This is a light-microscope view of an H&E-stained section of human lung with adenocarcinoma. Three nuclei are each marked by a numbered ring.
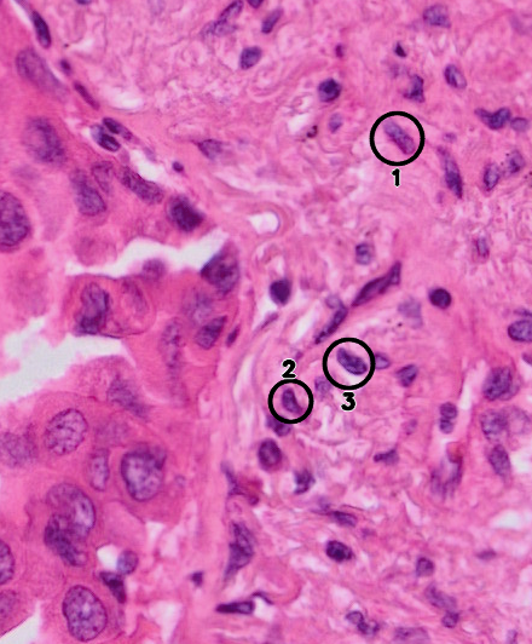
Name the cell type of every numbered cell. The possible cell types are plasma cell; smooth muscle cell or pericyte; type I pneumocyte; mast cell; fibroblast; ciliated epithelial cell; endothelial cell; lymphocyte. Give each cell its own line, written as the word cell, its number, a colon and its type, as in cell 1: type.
cell 1: smooth muscle cell or pericyte
cell 2: plasma cell
cell 3: lymphocyte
